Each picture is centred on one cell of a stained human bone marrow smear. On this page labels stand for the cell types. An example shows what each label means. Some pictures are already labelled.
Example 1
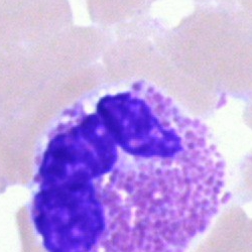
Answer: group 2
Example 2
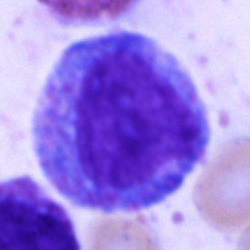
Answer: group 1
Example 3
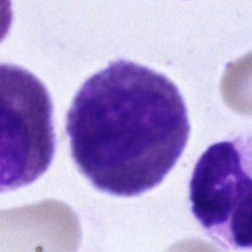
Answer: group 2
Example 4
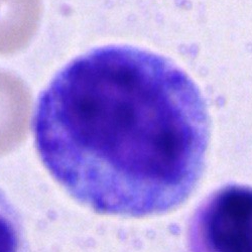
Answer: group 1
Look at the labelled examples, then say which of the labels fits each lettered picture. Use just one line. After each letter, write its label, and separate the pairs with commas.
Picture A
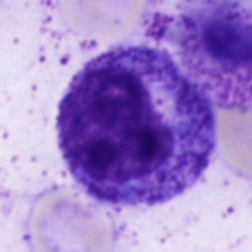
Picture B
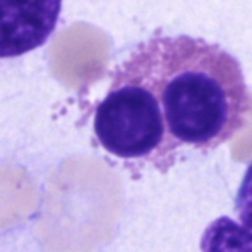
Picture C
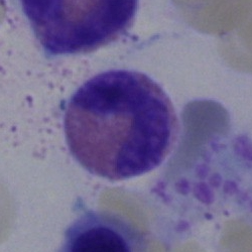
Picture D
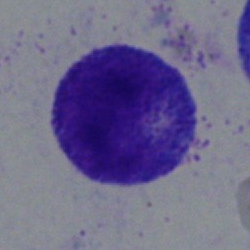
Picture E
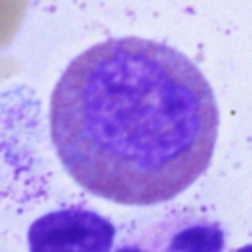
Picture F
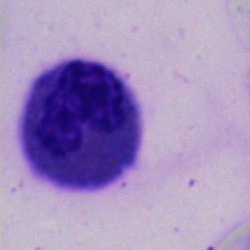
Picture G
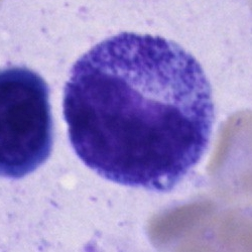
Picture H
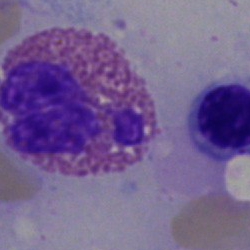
A group 1, B group 2, C group 2, D group 1, E group 2, F group 2, G group 1, H group 2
